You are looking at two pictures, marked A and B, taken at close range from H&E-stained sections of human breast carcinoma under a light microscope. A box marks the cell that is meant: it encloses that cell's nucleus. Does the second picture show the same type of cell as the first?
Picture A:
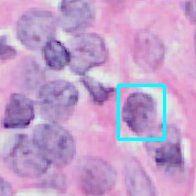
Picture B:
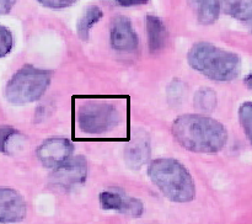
yes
